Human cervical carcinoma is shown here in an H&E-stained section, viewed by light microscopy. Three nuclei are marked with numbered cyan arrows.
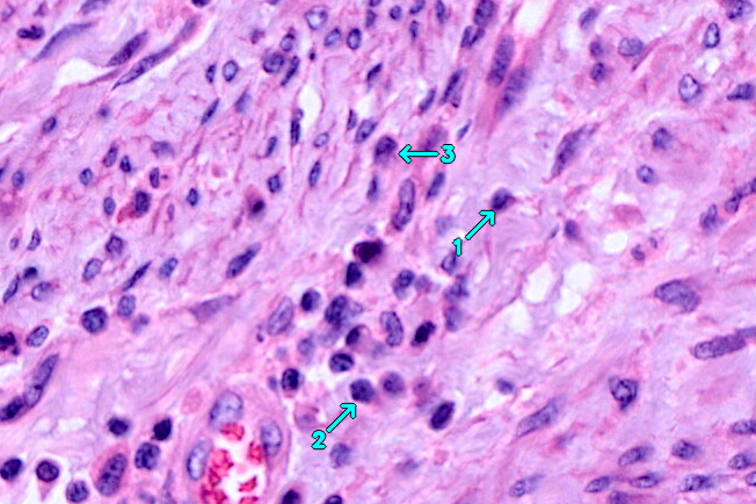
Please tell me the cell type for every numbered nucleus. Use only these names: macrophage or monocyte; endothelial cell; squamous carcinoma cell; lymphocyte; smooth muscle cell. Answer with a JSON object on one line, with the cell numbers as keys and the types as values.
{"1": "lymphocyte", "2": "lymphocyte", "3": "macrophage or monocyte"}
